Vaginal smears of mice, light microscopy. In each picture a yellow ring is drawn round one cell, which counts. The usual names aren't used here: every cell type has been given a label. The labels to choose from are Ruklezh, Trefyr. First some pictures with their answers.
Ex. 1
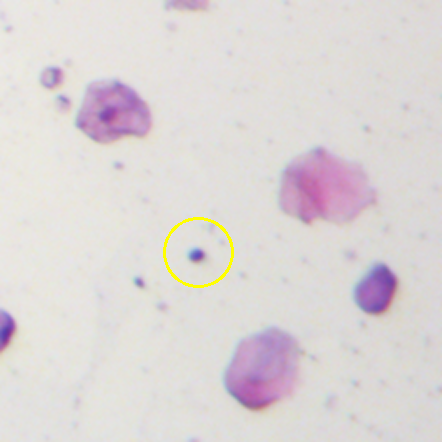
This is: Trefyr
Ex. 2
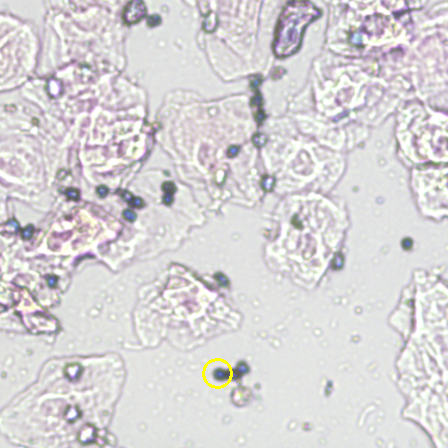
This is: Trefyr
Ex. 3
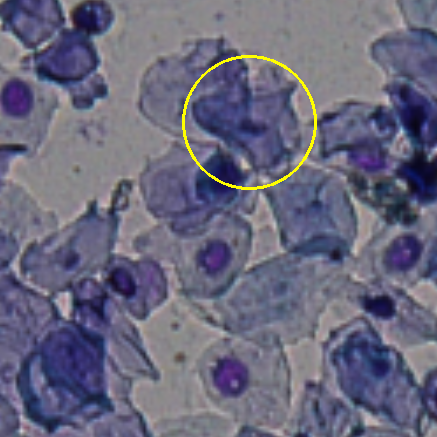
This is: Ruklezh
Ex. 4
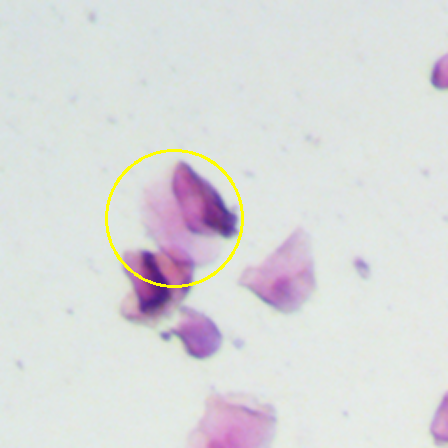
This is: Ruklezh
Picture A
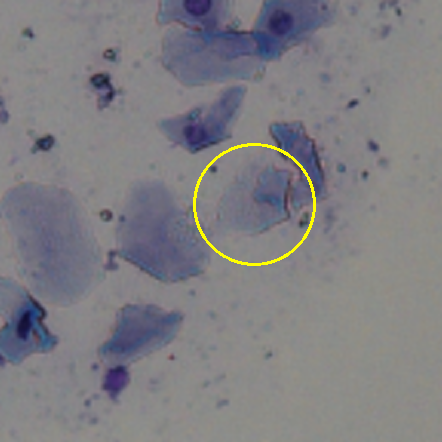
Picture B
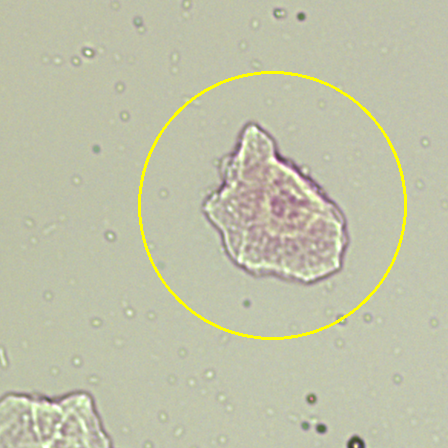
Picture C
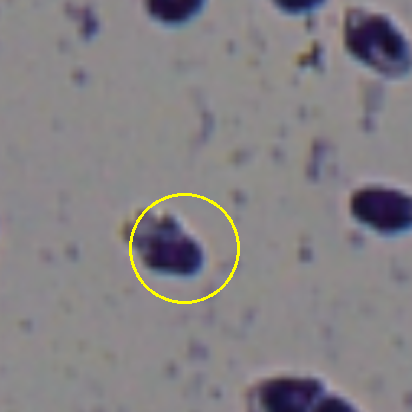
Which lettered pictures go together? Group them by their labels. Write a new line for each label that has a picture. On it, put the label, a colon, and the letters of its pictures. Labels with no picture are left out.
Ruklezh: A, B
Trefyr: C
